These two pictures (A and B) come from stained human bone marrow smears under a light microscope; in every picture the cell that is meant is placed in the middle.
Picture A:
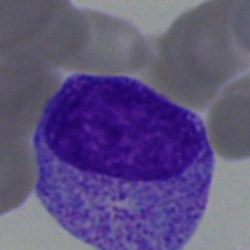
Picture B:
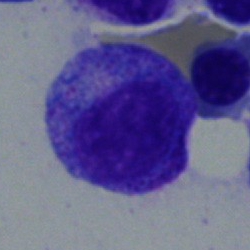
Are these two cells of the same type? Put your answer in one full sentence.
No, the types are not the same, since picture A shows a promyelocyte and picture B a myelocyte.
